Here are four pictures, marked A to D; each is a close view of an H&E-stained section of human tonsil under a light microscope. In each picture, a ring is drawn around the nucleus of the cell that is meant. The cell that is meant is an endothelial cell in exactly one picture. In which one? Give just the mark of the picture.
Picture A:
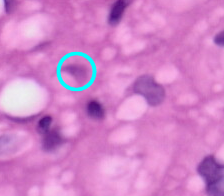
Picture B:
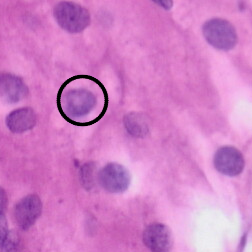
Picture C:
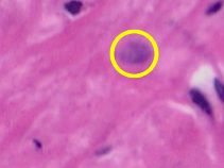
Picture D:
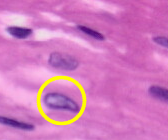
C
